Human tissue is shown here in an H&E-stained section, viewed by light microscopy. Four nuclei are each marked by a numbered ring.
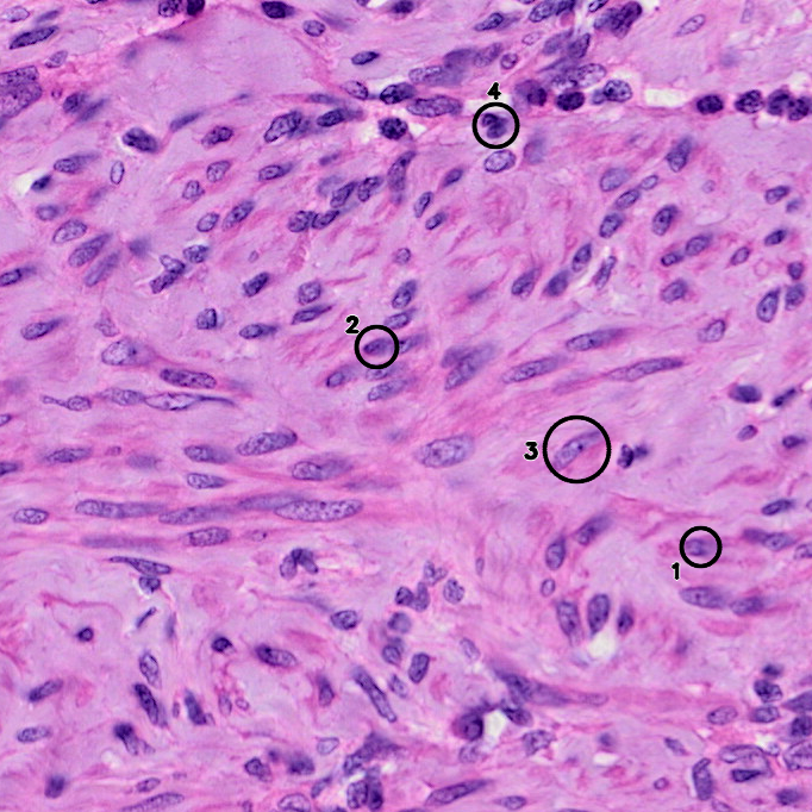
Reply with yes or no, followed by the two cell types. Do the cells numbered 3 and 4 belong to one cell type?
No, sorry to say, cell 3 is a smooth muscle cell and cell 4 is a lymphocyte.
